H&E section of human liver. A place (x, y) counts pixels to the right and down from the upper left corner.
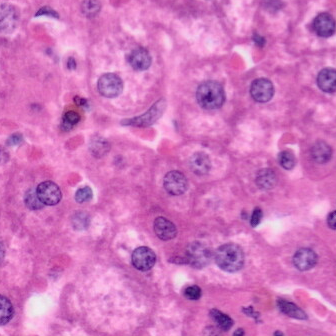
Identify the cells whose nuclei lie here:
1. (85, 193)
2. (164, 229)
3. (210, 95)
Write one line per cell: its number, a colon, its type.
1: lymphocyte
2: hepatocyte
3: hepatocyte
